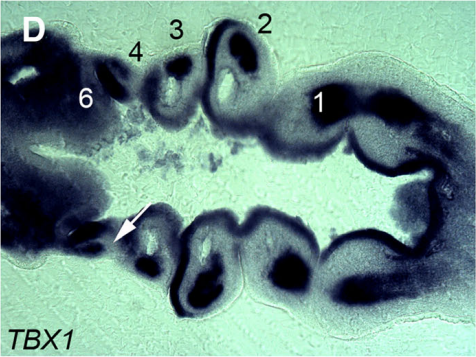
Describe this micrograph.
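The anterior arches carry large dark mesodermal cores, whereas a more posterior arch holds only a small one. The lining follows the outline of the pharyngeal cavity in the middle and dips in between the arches to form the pouches.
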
